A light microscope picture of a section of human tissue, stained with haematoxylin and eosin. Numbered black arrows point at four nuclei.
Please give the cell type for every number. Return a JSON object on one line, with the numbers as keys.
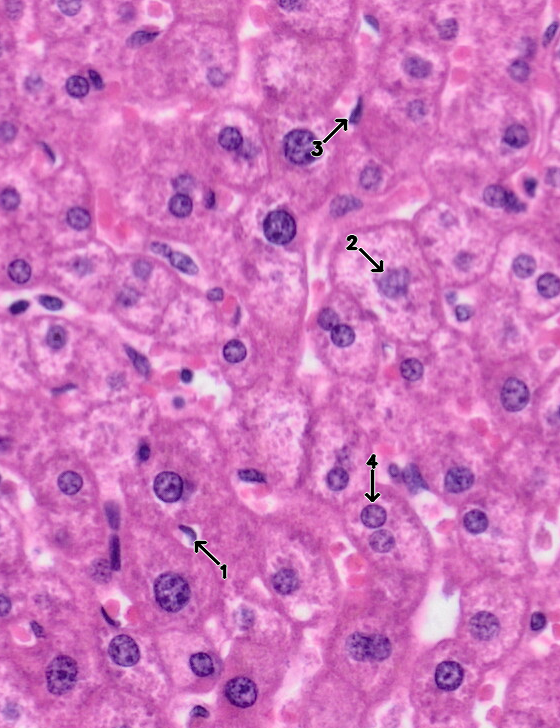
{"1": "endothelial cell", "2": "hepatocyte", "3": "endothelial cell", "4": "hepatocyte"}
